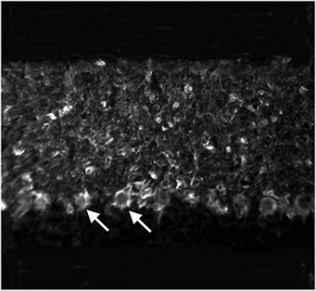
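A layered cortex is seen in bright-on-dark fluorescence, with a row of larger rounded bright cell bodies along the lower edge of a labelled layer. Above them the layer holds many smaller bright cell bodies scattered through a hazy meshwork of fine processes. Below the row lies a dimmer band, and above the layer a dark strip marks the surface. The larger cells forming the row at the bottom of the layer are Purkinje cells.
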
